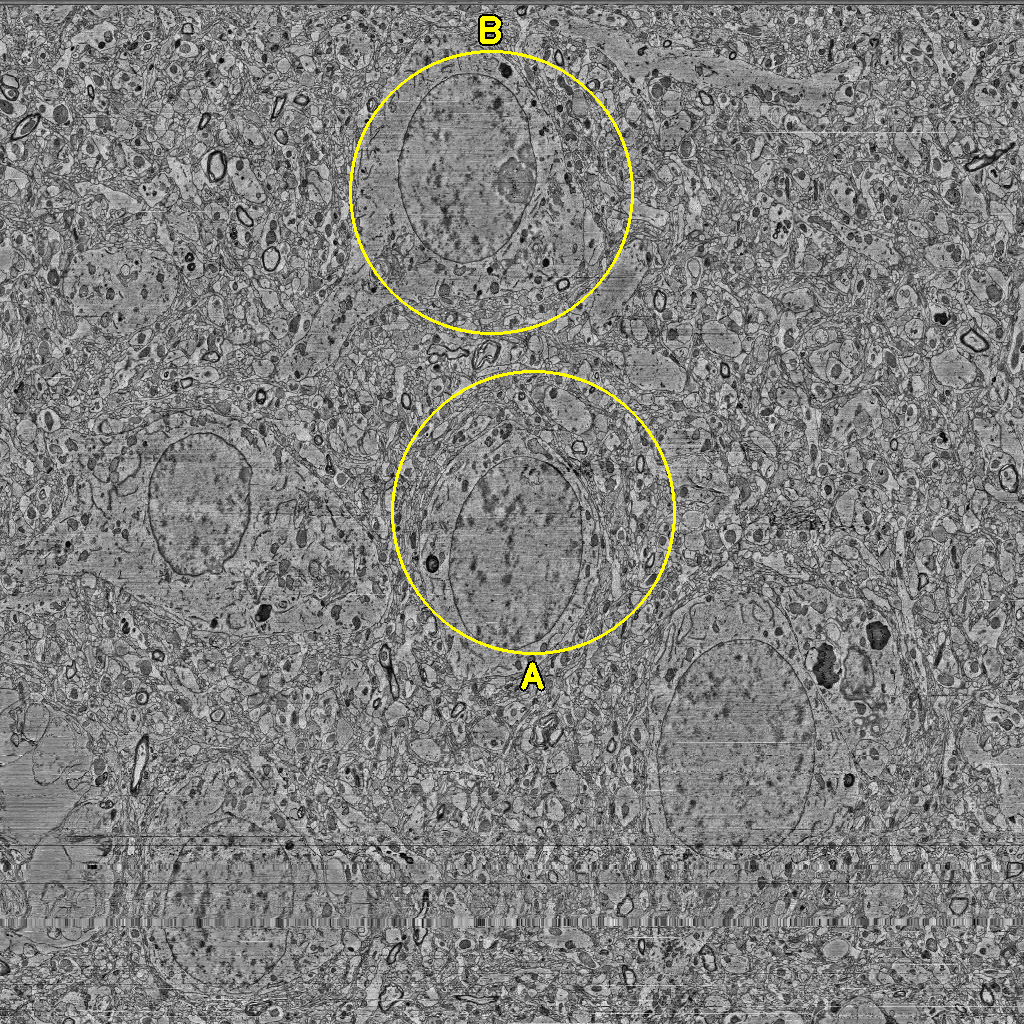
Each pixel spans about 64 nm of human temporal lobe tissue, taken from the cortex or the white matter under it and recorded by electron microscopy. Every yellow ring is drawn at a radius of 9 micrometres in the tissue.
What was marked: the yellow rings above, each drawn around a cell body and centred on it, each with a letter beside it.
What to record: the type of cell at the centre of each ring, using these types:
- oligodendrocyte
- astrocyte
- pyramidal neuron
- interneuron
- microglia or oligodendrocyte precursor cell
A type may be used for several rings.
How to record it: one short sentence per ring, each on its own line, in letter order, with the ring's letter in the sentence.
Centred in ring A is a pyramidal neuron.
Centred in ring B is a pyramidal neuron.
